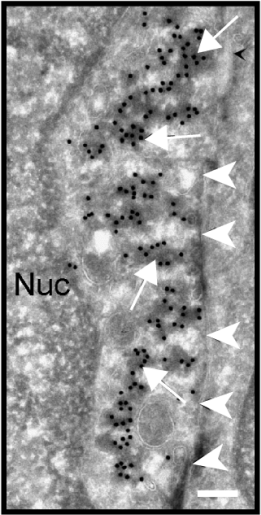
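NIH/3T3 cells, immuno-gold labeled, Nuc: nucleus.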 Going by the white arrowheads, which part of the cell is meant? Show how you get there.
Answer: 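Plasma membrane. The arrowheads line up along a dark continuous line at the right edge of the cytoplasm.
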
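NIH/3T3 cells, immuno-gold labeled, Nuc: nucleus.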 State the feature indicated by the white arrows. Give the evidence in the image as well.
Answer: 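The arrows point to dark, irregular patches in the cytoplasm. These patches carry dense clusters of black gold dots. The patches are not membrane-bounded vesicles.
Hence: electron-dense protein aggregates.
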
